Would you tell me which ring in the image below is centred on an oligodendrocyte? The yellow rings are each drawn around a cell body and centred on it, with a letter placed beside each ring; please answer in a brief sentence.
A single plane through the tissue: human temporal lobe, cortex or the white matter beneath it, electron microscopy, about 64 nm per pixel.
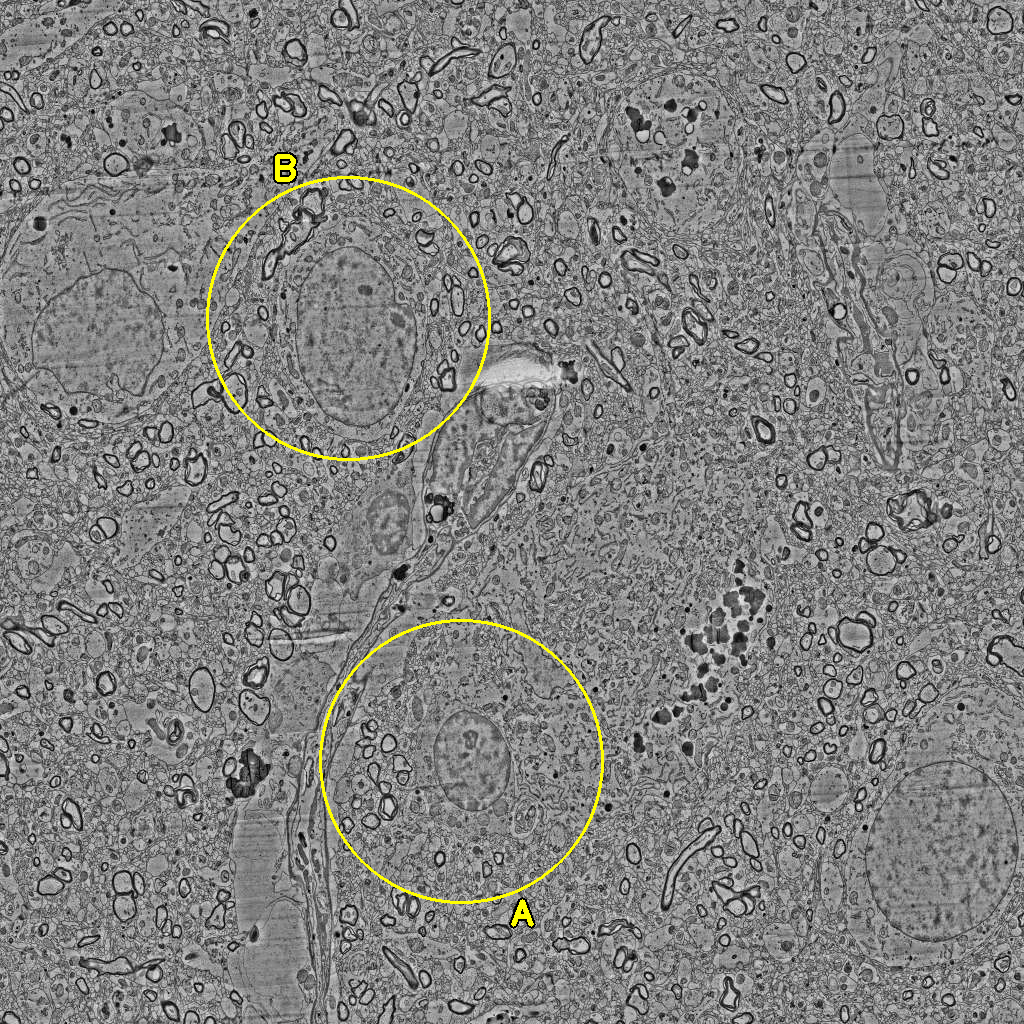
Ring A is centred on it.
